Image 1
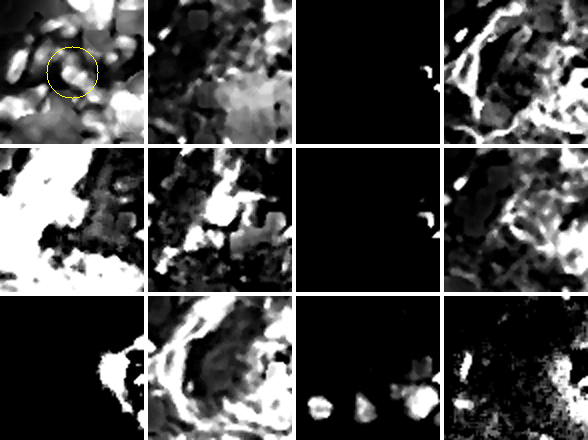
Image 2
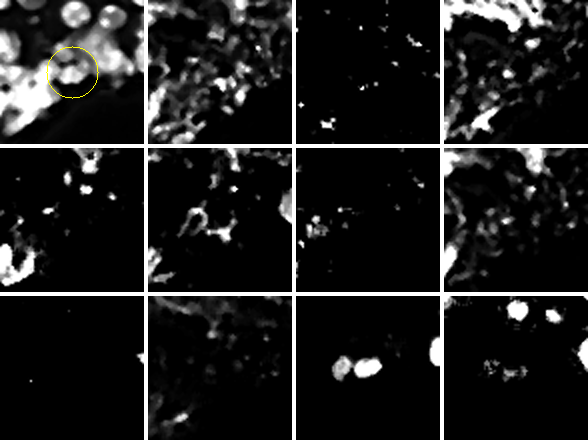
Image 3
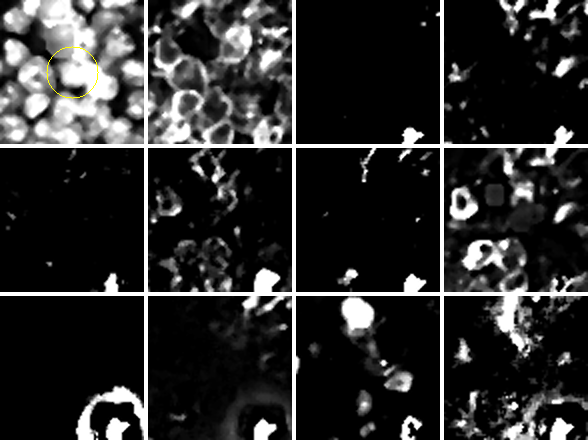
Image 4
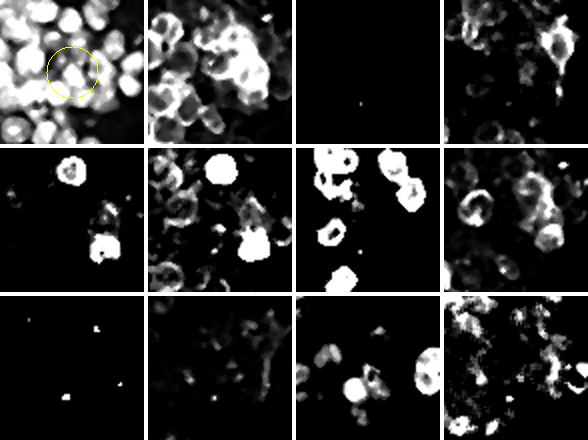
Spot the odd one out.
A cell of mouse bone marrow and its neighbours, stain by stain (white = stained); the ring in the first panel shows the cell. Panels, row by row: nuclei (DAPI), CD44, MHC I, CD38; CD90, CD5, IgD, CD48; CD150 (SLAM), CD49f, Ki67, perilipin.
Picture 1 (a T cell among erythroblasts).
